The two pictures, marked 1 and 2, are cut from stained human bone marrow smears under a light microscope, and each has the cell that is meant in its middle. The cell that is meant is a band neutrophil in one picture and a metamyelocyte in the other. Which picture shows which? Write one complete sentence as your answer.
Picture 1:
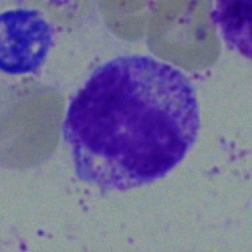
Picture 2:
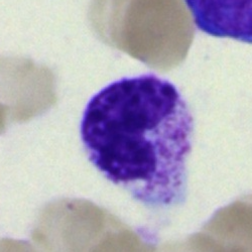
The cell in picture 1 is a metamyelocyte, and the one in picture 2 is a band neutrophil.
